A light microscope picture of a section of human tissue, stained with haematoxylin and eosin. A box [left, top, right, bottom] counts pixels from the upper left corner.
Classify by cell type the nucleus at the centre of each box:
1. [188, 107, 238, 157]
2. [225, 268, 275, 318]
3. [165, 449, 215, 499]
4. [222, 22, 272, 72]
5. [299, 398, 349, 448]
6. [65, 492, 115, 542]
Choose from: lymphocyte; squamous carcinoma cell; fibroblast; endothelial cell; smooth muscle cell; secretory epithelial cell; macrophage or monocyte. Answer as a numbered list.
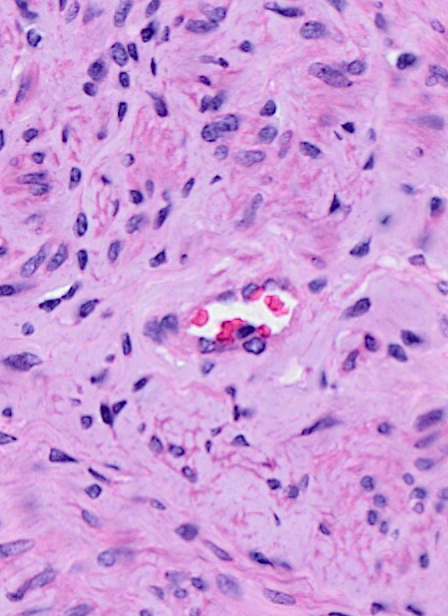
1. smooth muscle cell
2. endothelial cell
3. smooth muscle cell
4. smooth muscle cell
5. fibroblast
6. smooth muscle cell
